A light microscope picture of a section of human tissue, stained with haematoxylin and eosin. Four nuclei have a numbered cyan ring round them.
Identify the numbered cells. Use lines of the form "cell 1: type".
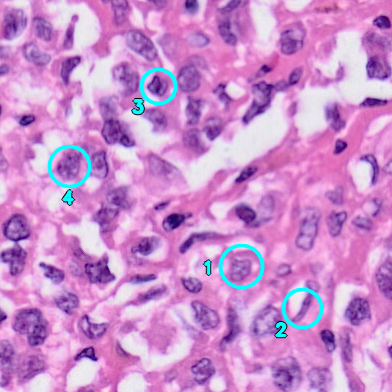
cell 1: melanoma cell
cell 2: endothelial cell
cell 3: melanoma cell
cell 4: melanoma cell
